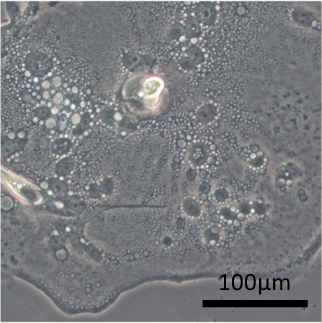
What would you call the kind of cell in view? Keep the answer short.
Multinucleated cells.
